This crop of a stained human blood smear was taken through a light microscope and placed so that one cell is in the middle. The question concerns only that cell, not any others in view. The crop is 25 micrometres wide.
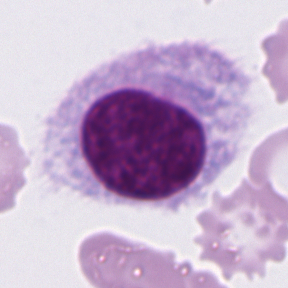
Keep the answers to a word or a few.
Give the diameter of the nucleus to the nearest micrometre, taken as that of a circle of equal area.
10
